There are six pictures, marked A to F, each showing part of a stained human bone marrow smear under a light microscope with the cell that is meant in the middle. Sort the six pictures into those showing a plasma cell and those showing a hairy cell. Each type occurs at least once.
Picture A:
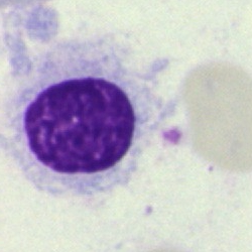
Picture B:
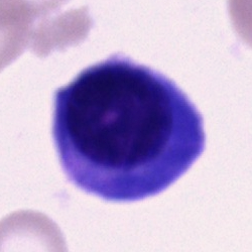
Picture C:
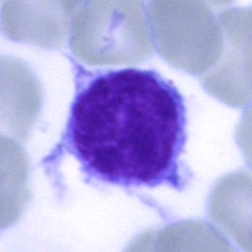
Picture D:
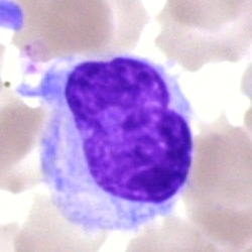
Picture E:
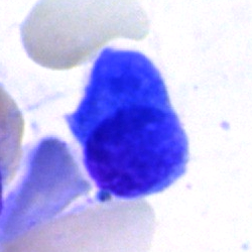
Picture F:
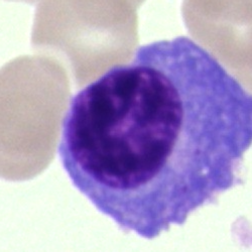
A: hairy cell
B: plasma cell
C: hairy cell
D: hairy cell
E: plasma cell
F: plasma cell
